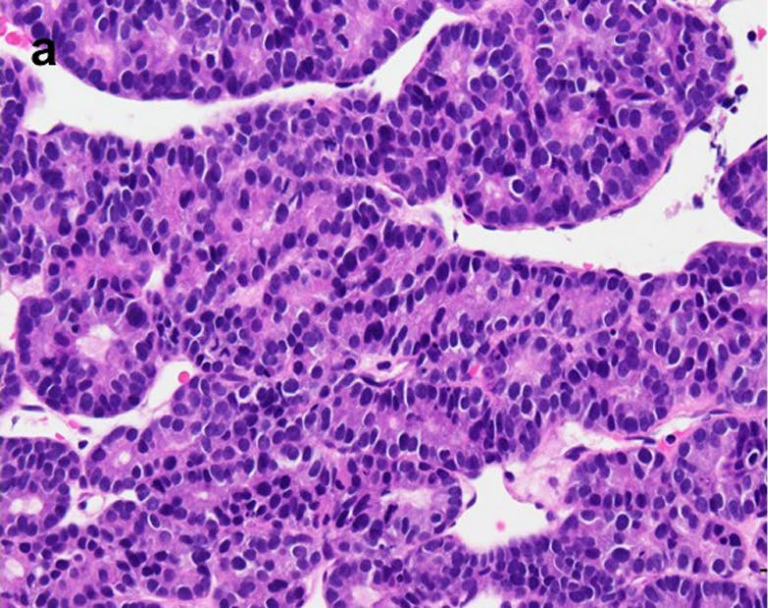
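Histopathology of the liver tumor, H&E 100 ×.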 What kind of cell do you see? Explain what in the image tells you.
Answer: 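Atypical epithelia. Cells are small and crowded with dark, hyperchromatic oval nuclei. Cells form cohesive nests and glands separated by thin stroma.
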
